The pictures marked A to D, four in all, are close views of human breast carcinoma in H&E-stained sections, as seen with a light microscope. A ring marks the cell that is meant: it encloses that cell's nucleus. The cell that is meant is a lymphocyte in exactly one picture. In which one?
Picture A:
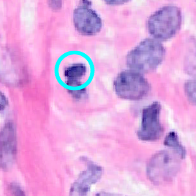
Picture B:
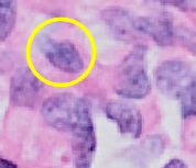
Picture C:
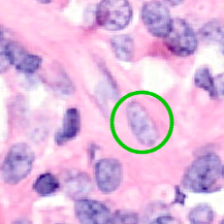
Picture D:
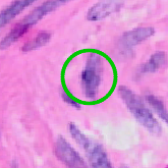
A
